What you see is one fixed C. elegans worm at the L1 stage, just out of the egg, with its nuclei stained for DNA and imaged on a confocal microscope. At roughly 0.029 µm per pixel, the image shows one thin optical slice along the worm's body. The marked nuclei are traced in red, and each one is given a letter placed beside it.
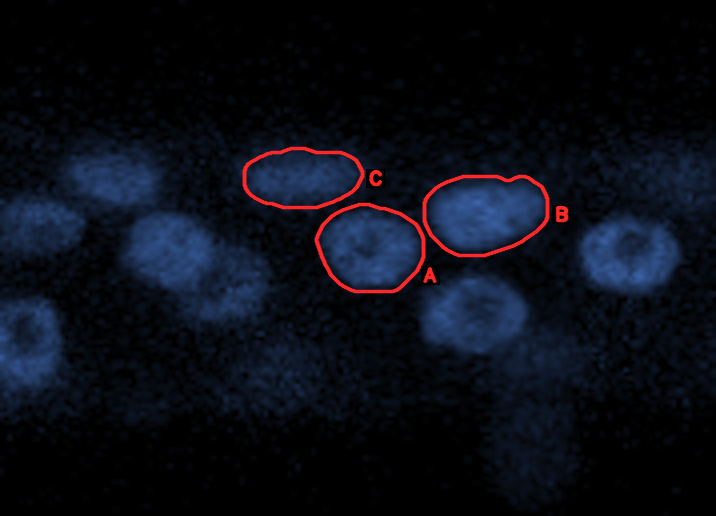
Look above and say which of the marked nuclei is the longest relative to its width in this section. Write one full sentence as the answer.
The most elongated nucleus is C.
